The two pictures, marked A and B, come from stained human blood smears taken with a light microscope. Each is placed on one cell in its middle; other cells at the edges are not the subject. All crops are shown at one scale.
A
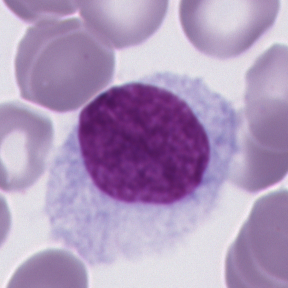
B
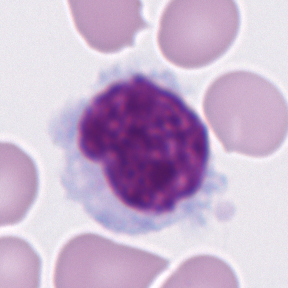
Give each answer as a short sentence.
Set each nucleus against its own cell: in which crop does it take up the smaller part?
Of the two, the nucleus in picture A leaves more room for cytoplasm.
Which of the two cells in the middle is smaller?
The cell in picture B is smaller; the one in picture A has about 1.5 times its area.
